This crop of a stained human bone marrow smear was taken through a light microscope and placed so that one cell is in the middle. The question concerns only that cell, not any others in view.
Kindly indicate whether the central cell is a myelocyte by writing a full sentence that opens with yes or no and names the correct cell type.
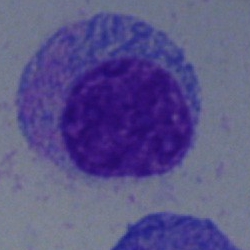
Yes, the centre of the crop holds a myelocyte.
